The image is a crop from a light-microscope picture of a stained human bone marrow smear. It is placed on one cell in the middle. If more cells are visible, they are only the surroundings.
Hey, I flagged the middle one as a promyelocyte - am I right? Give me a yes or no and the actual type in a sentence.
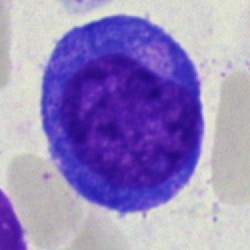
Yes, the cell found at the centre of the crop is a promyelocyte.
